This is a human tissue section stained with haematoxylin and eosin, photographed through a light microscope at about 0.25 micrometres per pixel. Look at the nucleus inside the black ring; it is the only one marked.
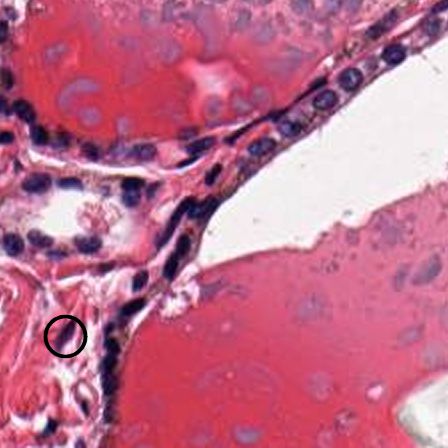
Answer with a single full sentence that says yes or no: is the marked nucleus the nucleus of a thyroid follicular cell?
No, the marked nucleus is part of a supporting cell and does not belong to a thyroid follicular cell.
